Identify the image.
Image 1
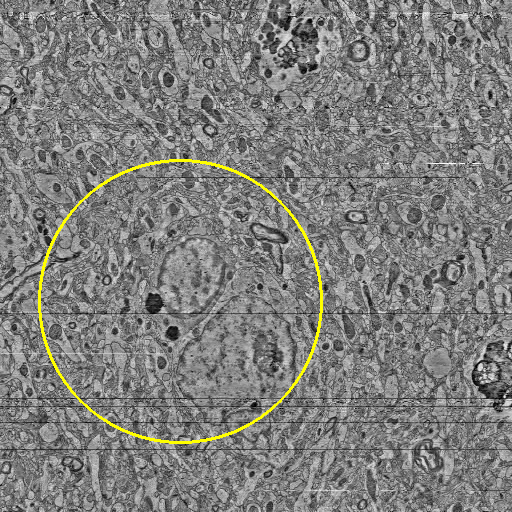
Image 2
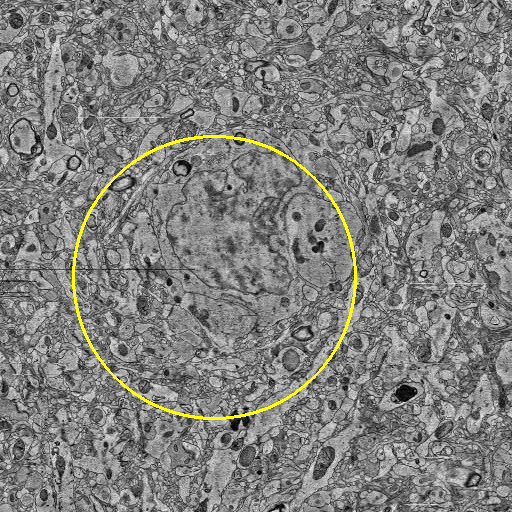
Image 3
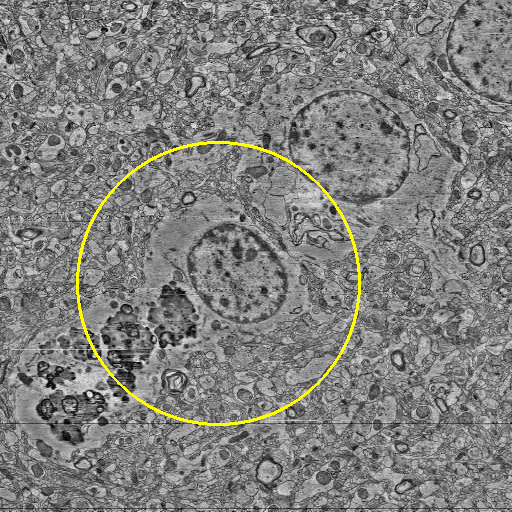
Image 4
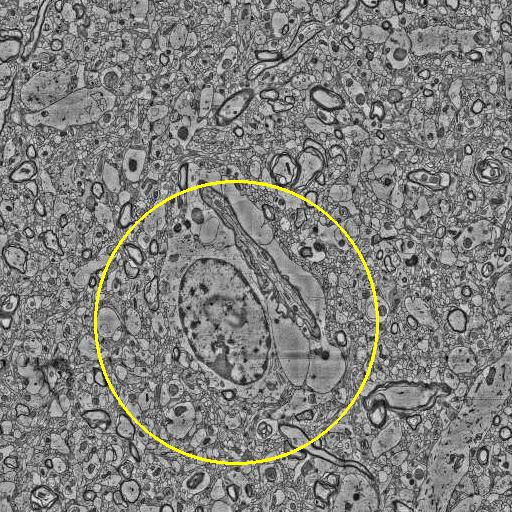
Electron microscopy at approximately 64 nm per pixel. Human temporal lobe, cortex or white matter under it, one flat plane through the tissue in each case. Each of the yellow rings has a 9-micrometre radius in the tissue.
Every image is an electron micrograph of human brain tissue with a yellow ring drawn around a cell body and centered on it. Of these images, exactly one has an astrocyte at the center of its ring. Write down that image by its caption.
Image 3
